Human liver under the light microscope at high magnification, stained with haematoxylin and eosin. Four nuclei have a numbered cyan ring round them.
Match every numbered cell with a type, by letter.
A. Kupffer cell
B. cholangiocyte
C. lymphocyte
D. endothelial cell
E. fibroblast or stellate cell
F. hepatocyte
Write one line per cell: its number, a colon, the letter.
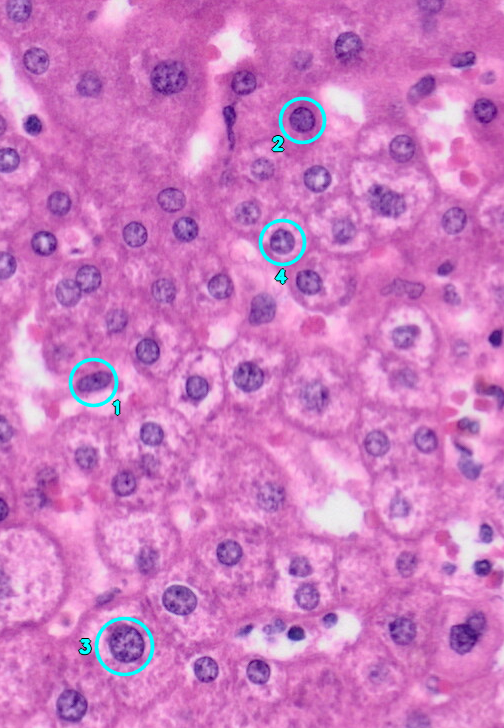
1: A
2: F
3: F
4: F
